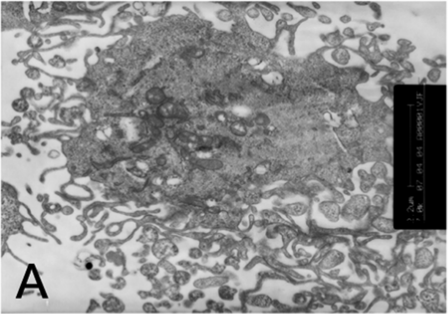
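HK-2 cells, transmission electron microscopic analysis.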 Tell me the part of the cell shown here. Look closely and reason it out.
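Numerous slender finger-like projections extend from the cell surface. The projections are cut both lengthwise and in cross section around the cell. So: microvilli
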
